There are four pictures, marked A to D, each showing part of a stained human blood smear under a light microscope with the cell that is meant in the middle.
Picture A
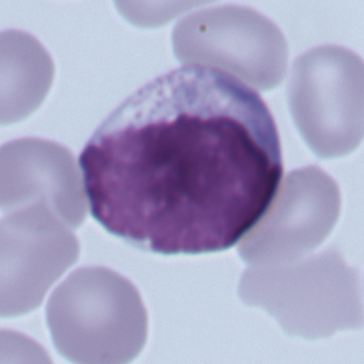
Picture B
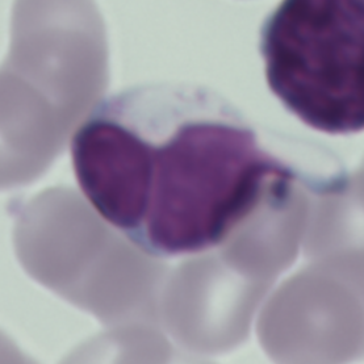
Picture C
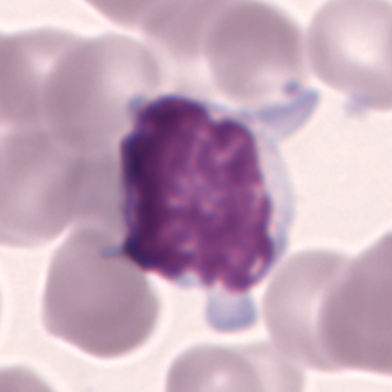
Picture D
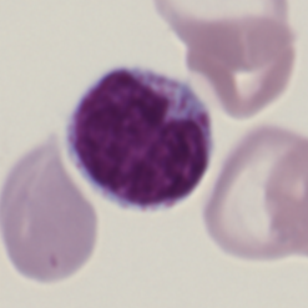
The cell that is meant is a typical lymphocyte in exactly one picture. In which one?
D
